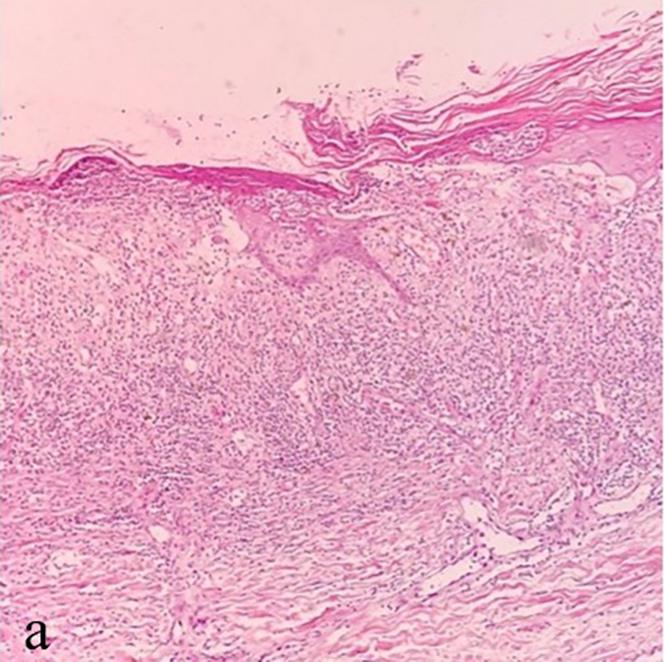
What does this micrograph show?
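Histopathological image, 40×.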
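This low-power view of skin shows an ulcerated surface over a dermis heavily infiltrated by inflammatory cells. A thin layer of pink keratin and necrotic material covers the surface, and the intact epidermis is mostly lost, with only a small remnant dipping downward. The upper and mid dermis is crowded with small dark nuclei in a dense sheet. Dilated, clear vascular spaces are scattered through the infiltrate. Toward the bottom, the infiltrate thins and pink collagen bundles become visible.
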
